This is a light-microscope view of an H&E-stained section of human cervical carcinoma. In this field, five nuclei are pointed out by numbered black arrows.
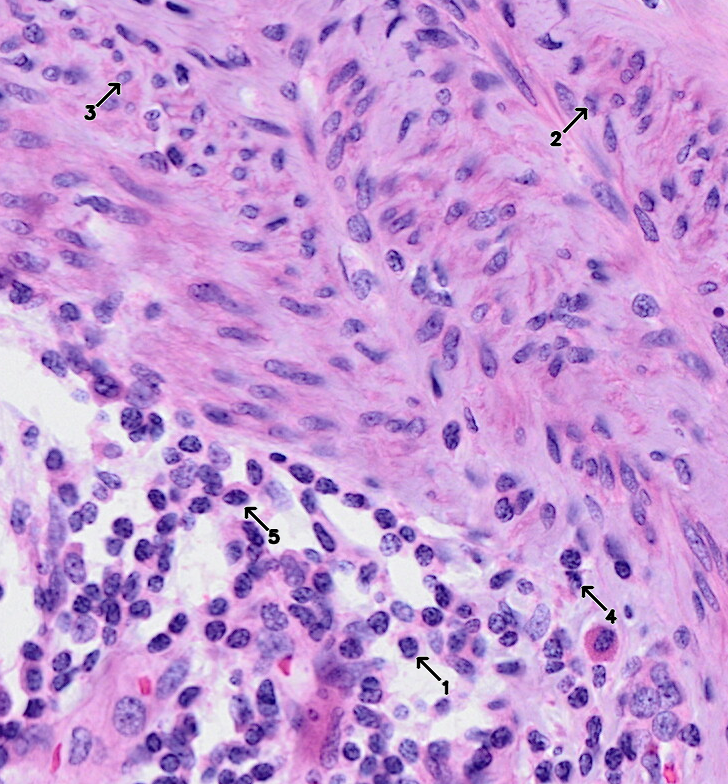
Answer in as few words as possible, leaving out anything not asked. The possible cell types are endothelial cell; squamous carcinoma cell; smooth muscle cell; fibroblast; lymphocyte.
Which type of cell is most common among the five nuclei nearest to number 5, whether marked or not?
lymphocyte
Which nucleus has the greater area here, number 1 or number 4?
1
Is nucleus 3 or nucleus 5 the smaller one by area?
3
